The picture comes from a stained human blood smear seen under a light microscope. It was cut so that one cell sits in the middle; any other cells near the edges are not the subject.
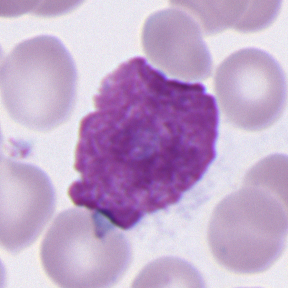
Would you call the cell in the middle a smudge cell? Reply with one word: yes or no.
yes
